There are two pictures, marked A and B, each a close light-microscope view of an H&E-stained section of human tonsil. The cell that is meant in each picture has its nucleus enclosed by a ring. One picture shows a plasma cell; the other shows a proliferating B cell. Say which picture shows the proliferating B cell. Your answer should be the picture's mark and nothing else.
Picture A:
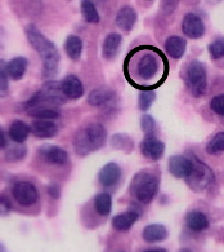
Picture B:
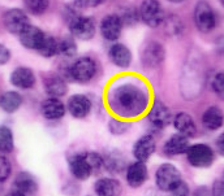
B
